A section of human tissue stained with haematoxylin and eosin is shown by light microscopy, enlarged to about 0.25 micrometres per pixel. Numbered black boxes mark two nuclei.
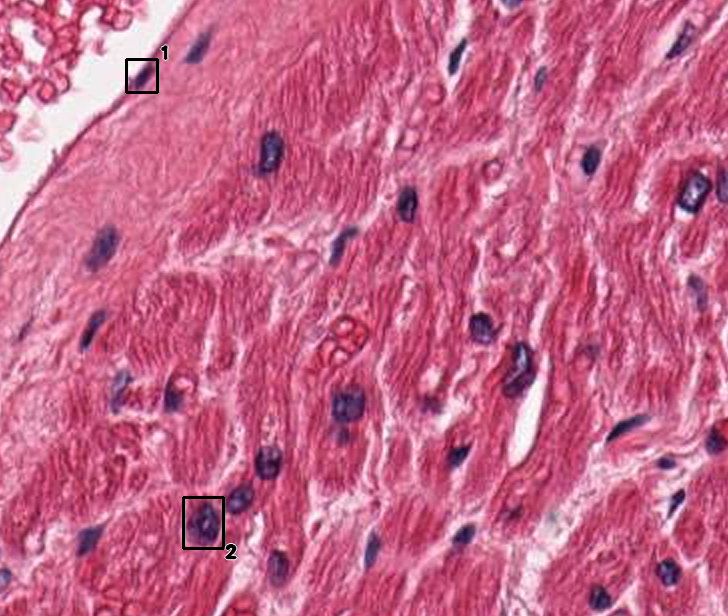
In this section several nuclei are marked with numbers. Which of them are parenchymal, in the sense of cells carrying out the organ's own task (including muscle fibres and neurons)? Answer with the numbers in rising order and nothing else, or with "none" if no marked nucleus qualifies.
2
